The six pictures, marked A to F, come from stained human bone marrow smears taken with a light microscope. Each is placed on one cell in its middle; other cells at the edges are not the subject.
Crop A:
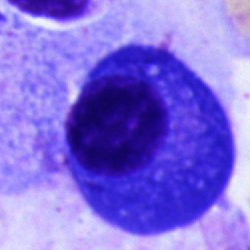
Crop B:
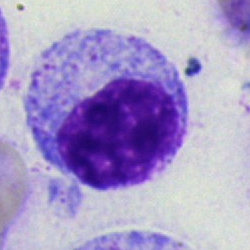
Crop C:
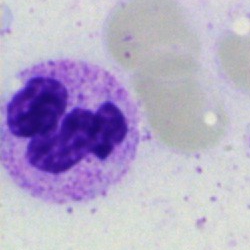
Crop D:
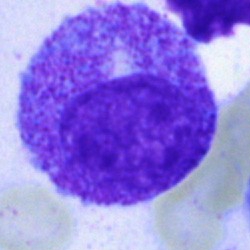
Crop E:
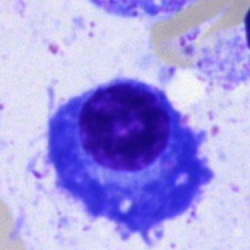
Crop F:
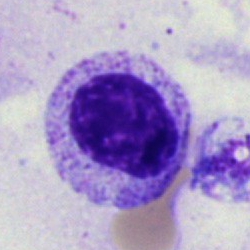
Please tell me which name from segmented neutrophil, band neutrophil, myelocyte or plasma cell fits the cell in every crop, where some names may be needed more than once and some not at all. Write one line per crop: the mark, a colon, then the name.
A: plasma cell
B: myelocyte
C: segmented neutrophil
D: myelocyte
E: plasma cell
F: myelocyte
